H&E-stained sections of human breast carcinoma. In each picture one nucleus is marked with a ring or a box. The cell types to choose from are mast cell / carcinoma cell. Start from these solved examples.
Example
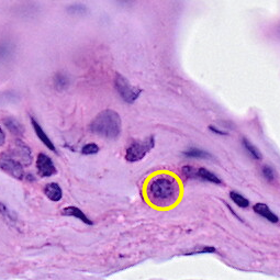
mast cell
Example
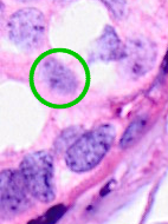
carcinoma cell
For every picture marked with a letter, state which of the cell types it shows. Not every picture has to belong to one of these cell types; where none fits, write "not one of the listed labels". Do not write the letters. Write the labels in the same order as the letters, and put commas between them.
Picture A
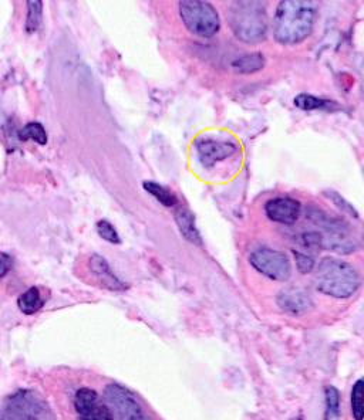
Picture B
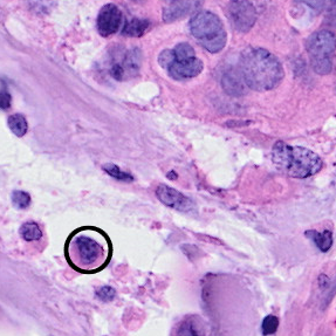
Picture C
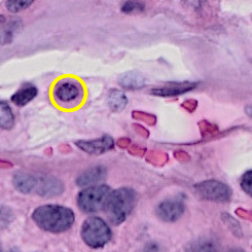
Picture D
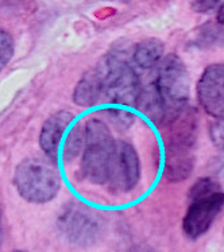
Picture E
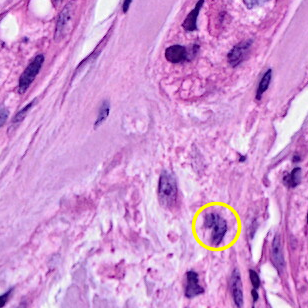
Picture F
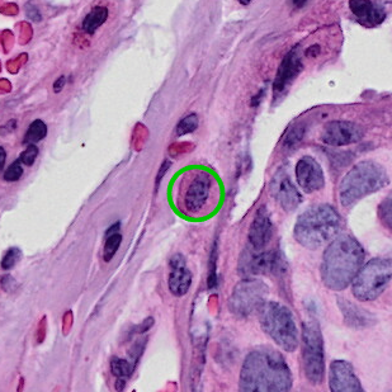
not one of the listed labels, mast cell, mast cell, carcinoma cell, not one of the listed labels, mast cell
